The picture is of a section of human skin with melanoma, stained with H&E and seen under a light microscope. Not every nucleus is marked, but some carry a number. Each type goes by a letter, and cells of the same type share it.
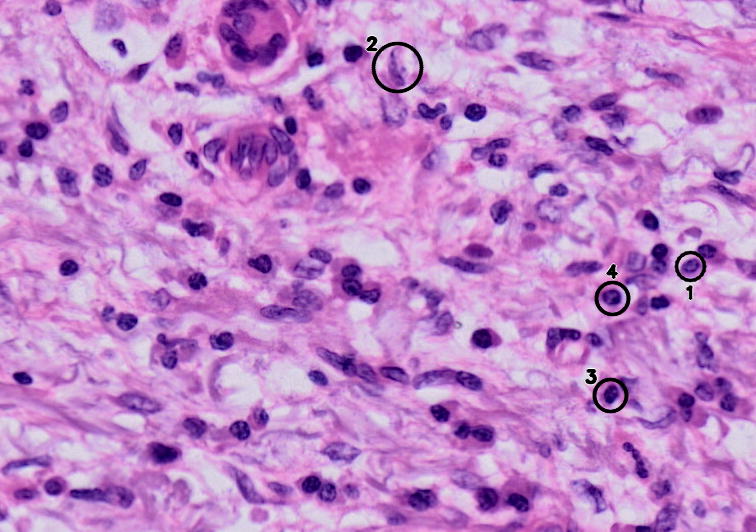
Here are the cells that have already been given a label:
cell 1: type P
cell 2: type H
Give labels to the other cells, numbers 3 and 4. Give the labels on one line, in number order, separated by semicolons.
type P; type P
